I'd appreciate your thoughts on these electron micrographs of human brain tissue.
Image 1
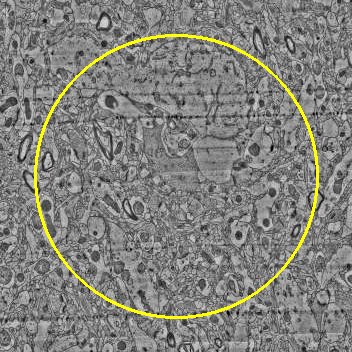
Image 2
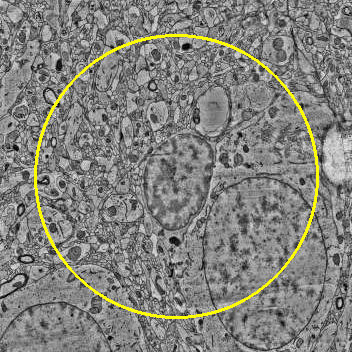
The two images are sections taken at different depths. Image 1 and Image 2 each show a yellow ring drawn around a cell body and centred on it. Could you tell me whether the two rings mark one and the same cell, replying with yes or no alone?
no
